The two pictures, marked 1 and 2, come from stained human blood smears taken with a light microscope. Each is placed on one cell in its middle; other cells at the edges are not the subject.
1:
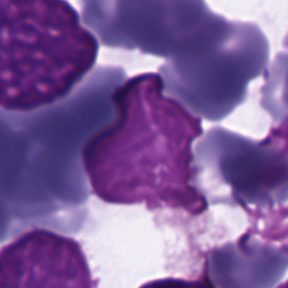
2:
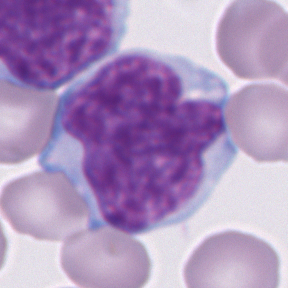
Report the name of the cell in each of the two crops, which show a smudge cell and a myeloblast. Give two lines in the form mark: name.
1: smudge cell
2: myeloblast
